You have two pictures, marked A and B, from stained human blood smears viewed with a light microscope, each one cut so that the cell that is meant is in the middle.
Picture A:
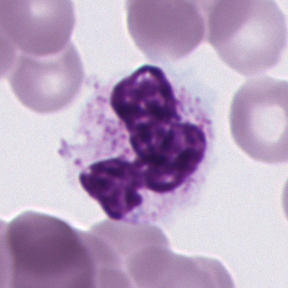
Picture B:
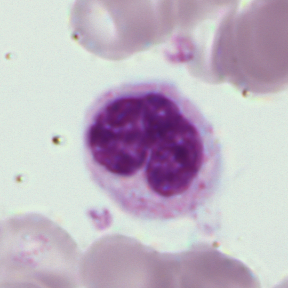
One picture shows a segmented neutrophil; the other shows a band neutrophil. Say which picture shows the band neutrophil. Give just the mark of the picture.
B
